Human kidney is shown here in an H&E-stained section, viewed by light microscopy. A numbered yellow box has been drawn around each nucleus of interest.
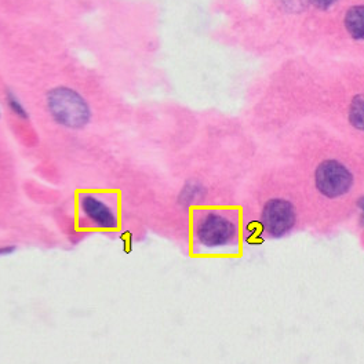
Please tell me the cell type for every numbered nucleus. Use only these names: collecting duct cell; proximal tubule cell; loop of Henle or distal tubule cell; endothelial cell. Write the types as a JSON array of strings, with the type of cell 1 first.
["endothelial cell", "proximal tubule cell"]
